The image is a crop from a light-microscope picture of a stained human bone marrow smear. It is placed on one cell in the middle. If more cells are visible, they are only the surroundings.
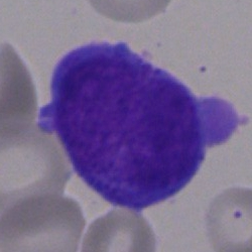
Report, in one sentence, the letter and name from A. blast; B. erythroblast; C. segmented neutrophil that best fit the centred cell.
The one cell at the centre is a blast, as correctly stated in option A.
